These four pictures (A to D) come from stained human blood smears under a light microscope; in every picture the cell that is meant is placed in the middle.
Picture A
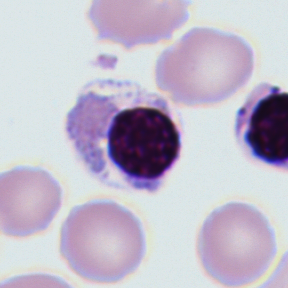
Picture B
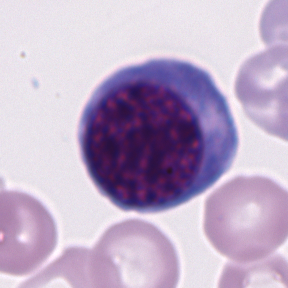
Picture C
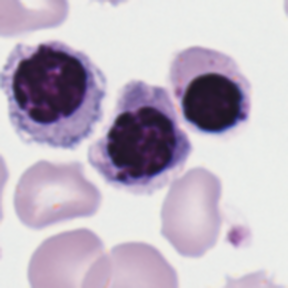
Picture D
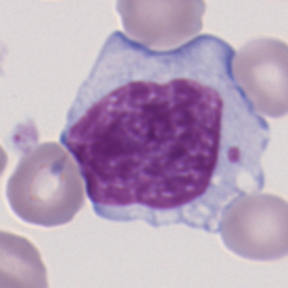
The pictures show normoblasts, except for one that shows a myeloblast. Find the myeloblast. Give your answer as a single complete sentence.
Picture D is the one that shows the myeloblast.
